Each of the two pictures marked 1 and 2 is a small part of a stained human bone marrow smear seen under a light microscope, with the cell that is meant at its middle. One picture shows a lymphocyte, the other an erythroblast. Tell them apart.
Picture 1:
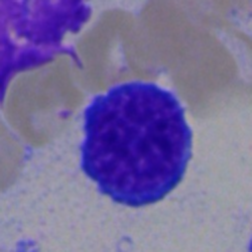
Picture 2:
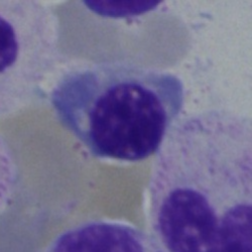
1: lymphocyte
2: erythroblast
